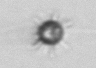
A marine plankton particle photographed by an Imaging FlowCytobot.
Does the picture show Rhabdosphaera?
Yes.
